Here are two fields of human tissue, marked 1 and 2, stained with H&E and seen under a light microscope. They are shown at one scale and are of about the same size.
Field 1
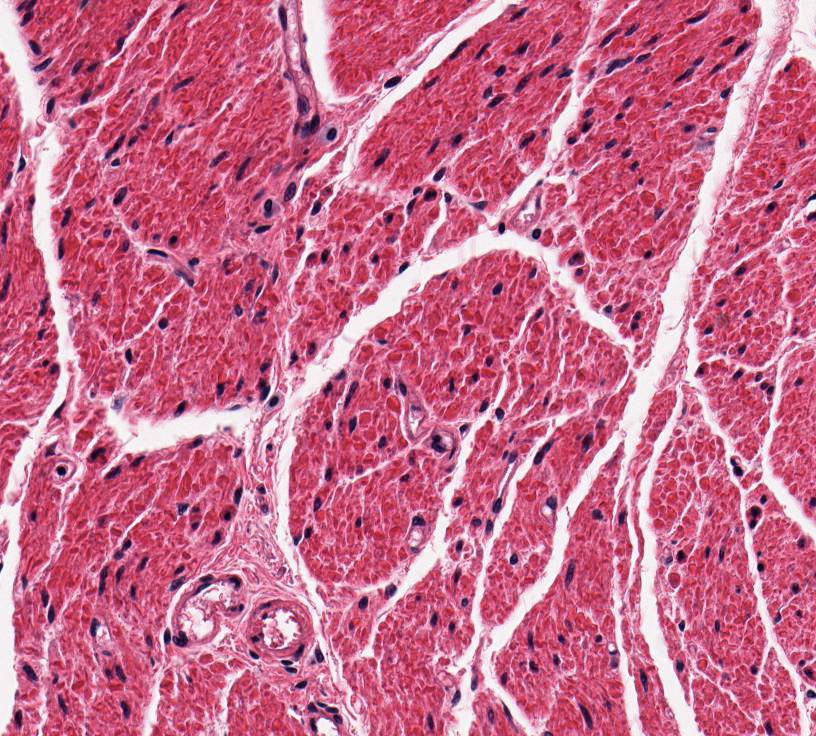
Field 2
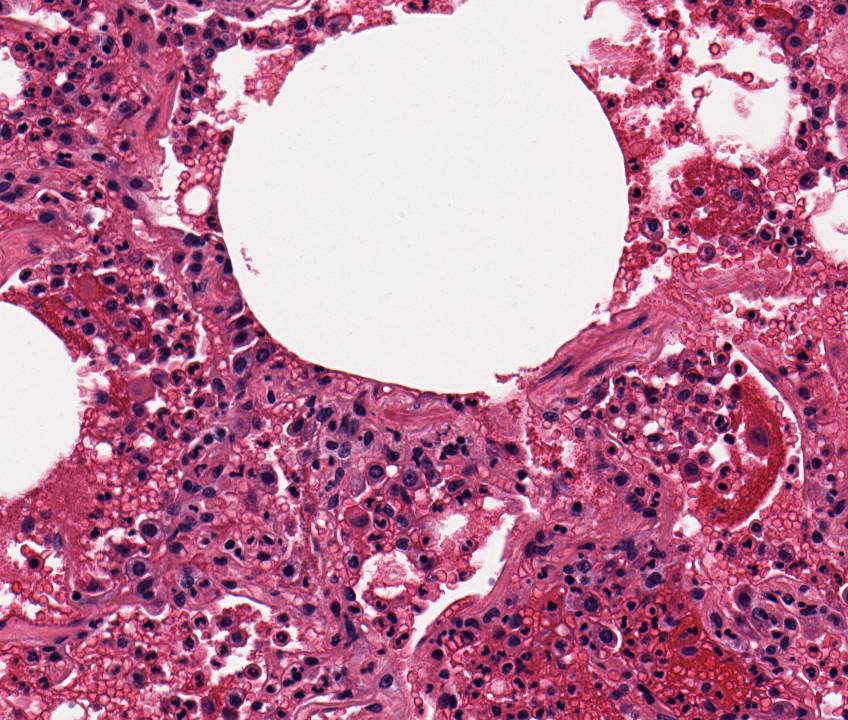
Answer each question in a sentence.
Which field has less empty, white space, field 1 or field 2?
Less of field 1 is empty and white.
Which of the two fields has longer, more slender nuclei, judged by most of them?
The nuclei are more elongated in field 1.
